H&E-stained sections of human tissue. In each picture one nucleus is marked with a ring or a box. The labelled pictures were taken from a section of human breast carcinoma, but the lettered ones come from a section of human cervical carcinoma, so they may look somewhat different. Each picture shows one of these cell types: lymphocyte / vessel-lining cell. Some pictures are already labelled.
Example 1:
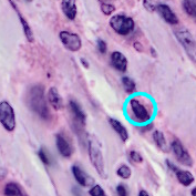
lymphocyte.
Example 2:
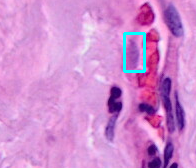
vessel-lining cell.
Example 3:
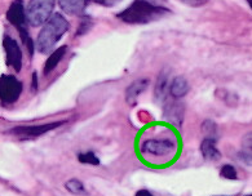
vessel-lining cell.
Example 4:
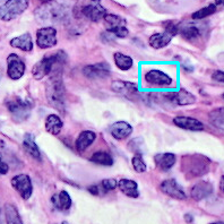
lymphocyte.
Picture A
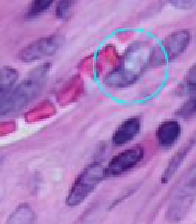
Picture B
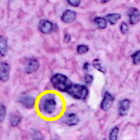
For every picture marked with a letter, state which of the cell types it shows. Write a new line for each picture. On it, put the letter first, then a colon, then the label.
A: vessel-lining cell.
B: lymphocyte.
